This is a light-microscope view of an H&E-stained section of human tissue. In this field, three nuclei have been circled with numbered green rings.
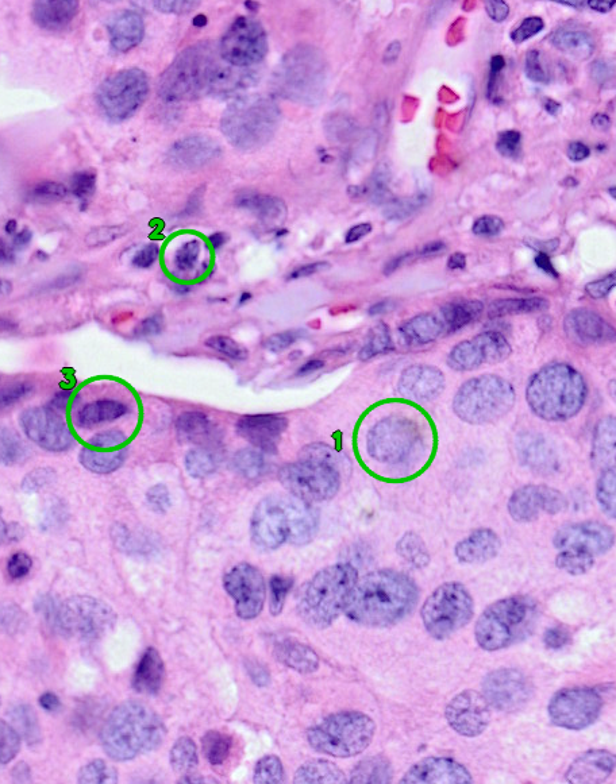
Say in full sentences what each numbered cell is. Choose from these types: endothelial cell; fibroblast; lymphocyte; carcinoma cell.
Cells 1 and 3 are carcinoma cells. Cell 2 is a lymphocyte.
